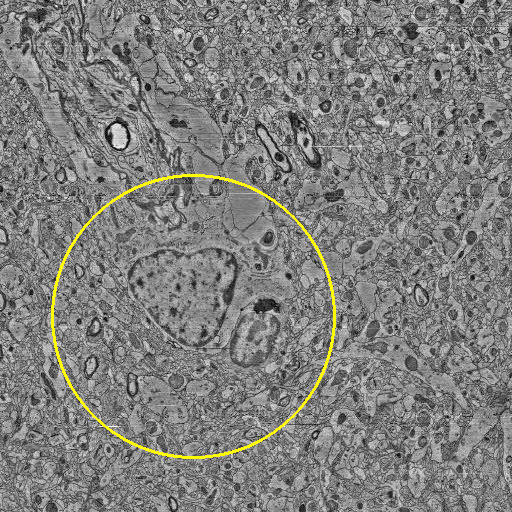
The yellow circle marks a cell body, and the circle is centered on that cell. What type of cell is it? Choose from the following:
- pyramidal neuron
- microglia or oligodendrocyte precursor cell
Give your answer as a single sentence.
This cell body belongs to a microglial cell or oligodendrocyte precursor cell.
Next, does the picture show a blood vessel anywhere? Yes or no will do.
Yes, there is one.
